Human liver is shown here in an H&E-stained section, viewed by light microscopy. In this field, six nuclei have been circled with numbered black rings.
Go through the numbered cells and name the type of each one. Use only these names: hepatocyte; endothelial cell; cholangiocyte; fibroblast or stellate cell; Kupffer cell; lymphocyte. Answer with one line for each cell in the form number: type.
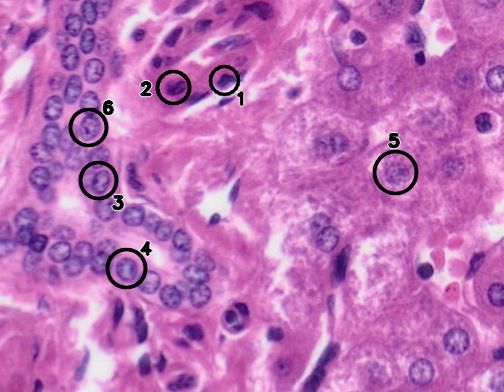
1: fibroblast or stellate cell
2: fibroblast or stellate cell
3: cholangiocyte
4: cholangiocyte
5: hepatocyte
6: cholangiocyte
